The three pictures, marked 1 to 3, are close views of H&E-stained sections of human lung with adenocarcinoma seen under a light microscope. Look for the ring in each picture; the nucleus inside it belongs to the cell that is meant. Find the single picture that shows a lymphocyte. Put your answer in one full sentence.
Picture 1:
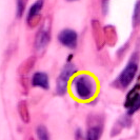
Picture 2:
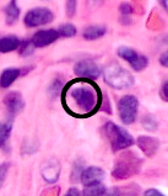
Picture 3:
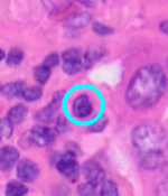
It is picture 3 that shows the lymphocyte.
